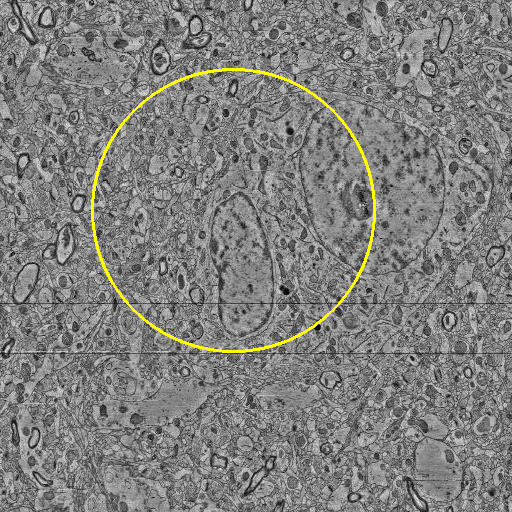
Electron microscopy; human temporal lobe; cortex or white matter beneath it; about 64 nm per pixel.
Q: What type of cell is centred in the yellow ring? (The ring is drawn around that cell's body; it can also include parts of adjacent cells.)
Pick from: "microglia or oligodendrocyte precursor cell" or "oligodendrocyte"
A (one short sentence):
The yellow ring is centred on a microglial cell or oligodendrocyte precursor cell.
